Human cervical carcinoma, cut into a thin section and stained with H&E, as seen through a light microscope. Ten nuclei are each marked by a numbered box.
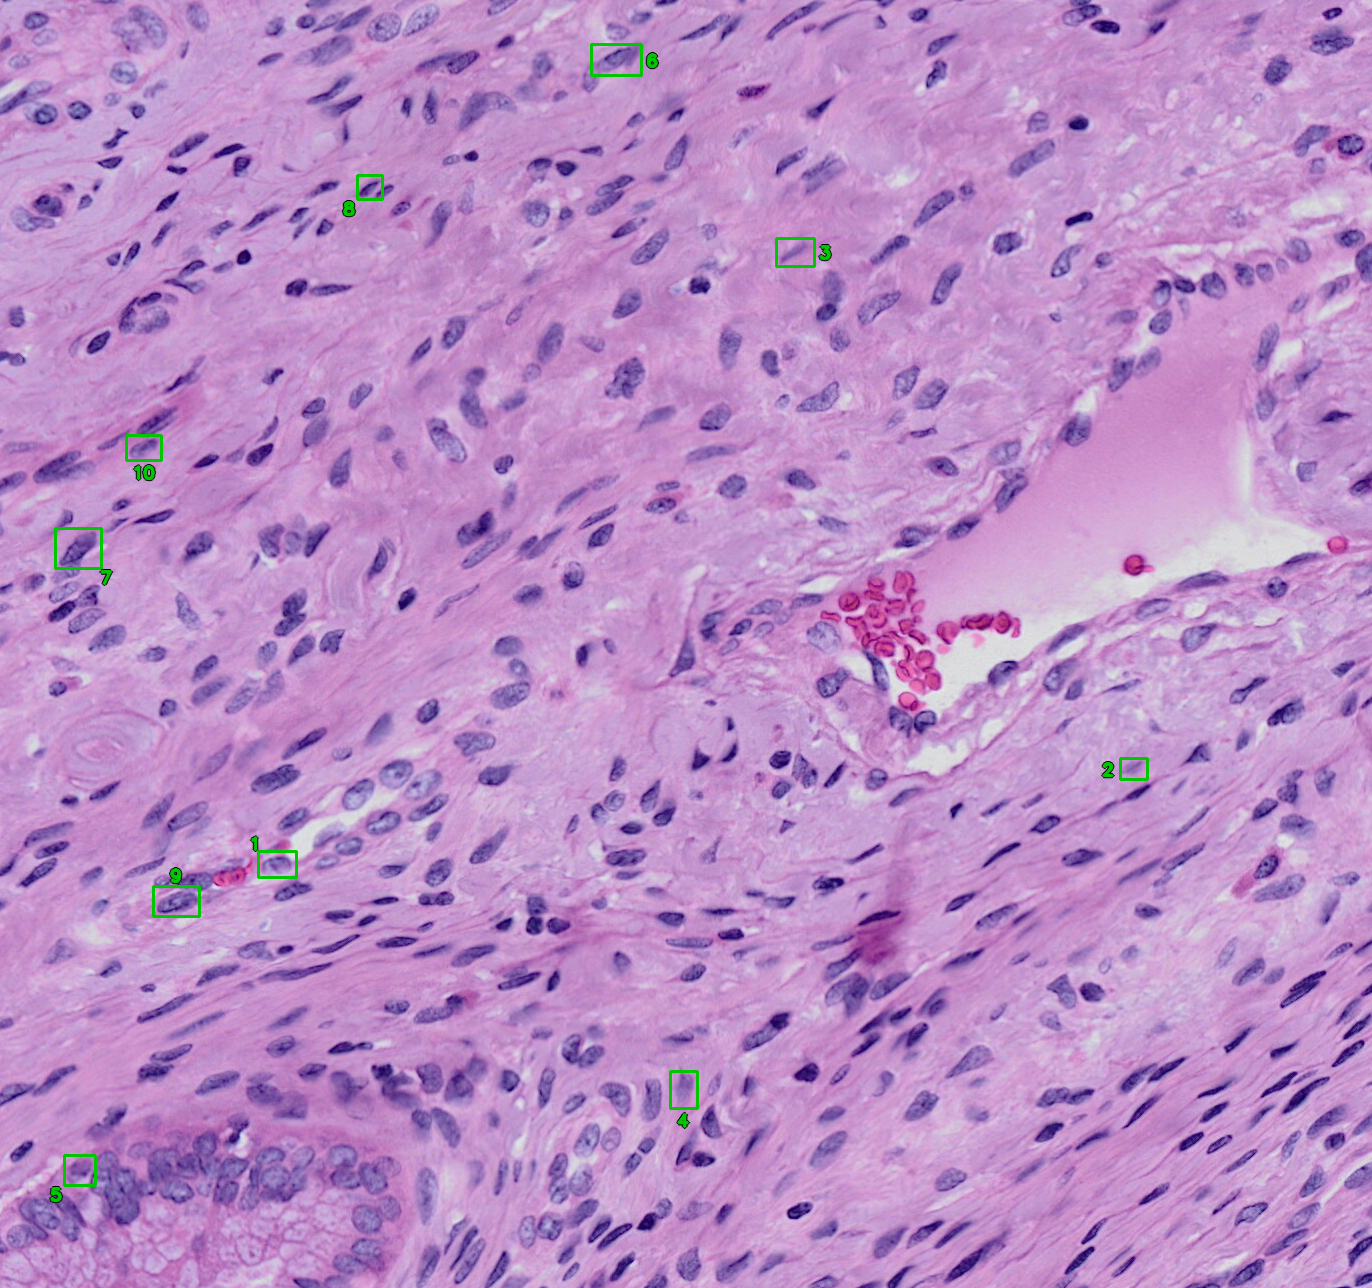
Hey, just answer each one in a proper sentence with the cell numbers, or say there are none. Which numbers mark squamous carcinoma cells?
None of the numbered cells qualify as squamous carcinoma cells.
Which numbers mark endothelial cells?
Marked by the numbers 1 and 9 are cells that are endothelial cells.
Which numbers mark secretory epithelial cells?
Among the labelled cells, only the cell labelled 5 is a secretory epithelial cell.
